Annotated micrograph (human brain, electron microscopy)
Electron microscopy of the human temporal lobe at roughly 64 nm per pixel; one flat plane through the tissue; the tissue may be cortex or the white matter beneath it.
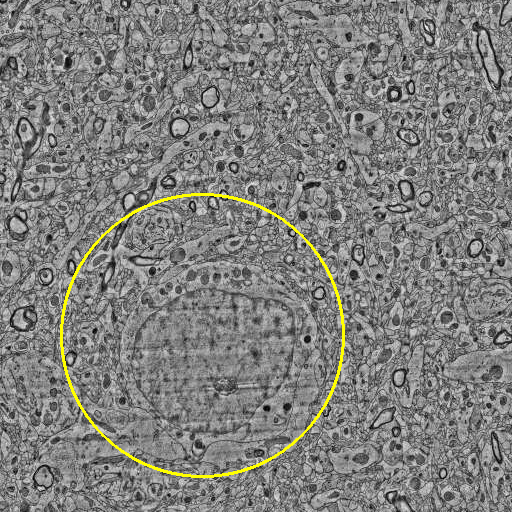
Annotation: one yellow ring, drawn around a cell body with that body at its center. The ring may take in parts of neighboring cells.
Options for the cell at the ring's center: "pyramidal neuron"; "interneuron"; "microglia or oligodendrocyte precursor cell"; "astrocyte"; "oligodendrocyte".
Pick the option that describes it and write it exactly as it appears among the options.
interneuron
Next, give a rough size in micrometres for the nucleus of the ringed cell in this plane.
Roughly 11 by 9 micrometres in this plane, for the nucleus of the ringed cell.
